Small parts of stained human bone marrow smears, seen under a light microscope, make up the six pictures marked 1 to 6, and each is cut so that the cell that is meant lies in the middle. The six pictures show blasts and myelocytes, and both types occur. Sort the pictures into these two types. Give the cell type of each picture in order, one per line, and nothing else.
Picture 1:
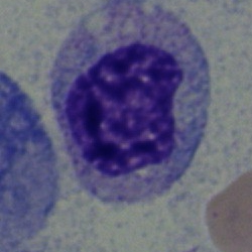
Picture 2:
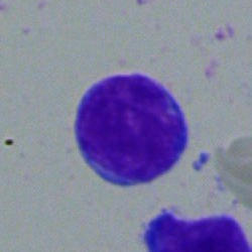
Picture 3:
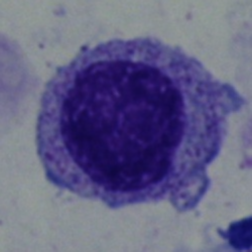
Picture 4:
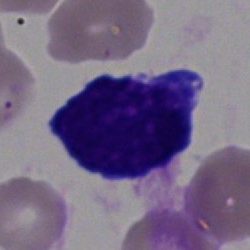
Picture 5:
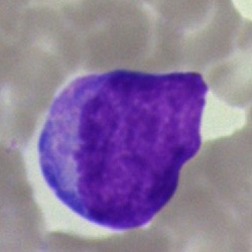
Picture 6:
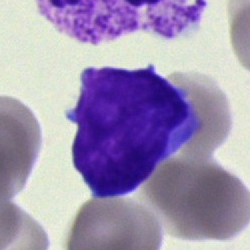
myelocyte
blast
myelocyte
blast
blast
blast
